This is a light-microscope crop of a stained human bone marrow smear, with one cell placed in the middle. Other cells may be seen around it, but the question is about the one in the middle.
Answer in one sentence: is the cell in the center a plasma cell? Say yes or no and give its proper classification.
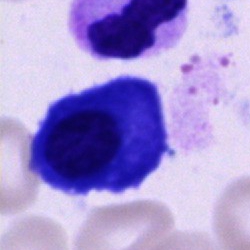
Yes, the cell in the central position is a plasma cell.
